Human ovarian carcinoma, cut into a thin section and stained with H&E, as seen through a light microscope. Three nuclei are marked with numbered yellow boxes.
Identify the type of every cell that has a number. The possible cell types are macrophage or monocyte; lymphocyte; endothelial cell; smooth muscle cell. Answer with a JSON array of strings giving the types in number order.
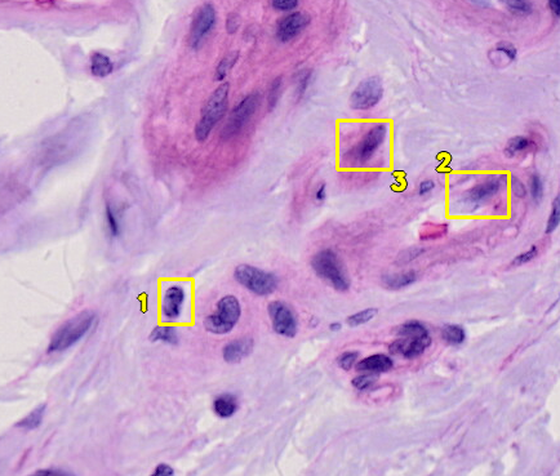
["lymphocyte", "endothelial cell", "smooth muscle cell"]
